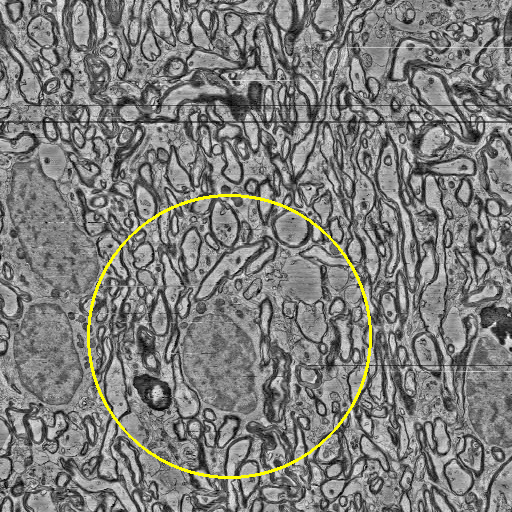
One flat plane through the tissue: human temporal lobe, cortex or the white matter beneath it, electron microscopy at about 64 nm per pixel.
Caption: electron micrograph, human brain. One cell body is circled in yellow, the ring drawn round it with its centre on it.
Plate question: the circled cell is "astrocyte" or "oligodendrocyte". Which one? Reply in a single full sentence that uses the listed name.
The yellow ring on the plate is centred on an oligodendrocyte, going by the listed names.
